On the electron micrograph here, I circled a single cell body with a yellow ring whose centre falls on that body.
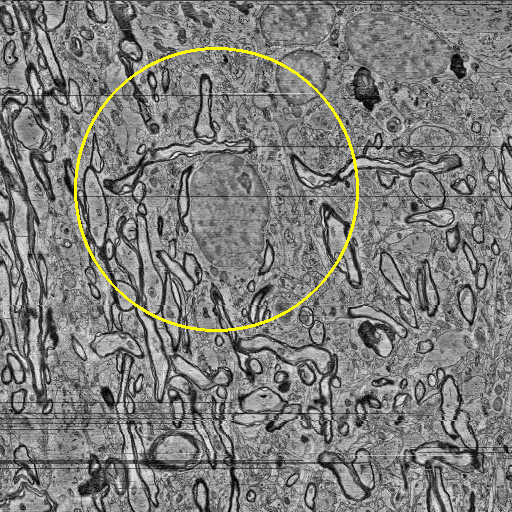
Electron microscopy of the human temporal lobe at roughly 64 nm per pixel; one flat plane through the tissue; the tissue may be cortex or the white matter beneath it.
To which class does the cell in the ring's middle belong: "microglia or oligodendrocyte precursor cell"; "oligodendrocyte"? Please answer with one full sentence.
In this picture, the cell body circled at the ring's centre belongs to an oligodendrocyte.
